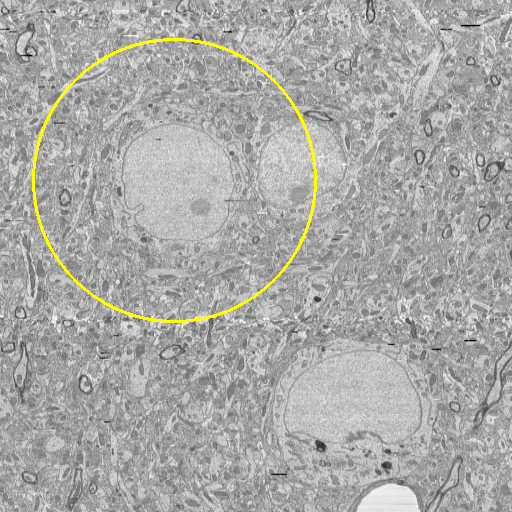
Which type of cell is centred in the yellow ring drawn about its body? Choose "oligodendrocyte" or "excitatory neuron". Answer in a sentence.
The yellow ring surrounds the cell body of an excitatory neuron.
